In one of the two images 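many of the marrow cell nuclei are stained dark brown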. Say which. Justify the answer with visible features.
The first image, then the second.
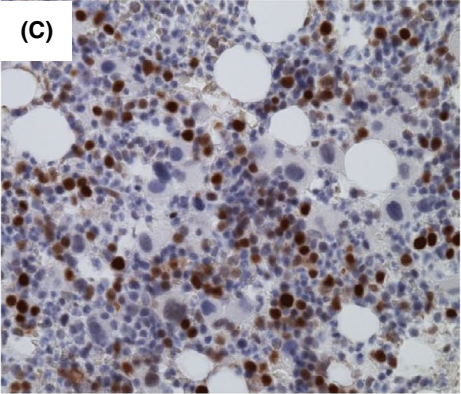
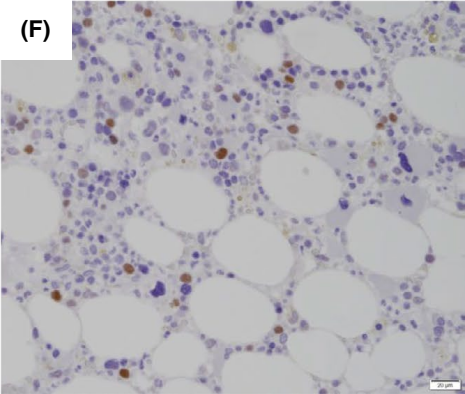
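Second image: only scattered nuclei are brown among mostly blue cells. First image: numerous nuclei throughout the field are dark brown. The answer: the first image.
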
